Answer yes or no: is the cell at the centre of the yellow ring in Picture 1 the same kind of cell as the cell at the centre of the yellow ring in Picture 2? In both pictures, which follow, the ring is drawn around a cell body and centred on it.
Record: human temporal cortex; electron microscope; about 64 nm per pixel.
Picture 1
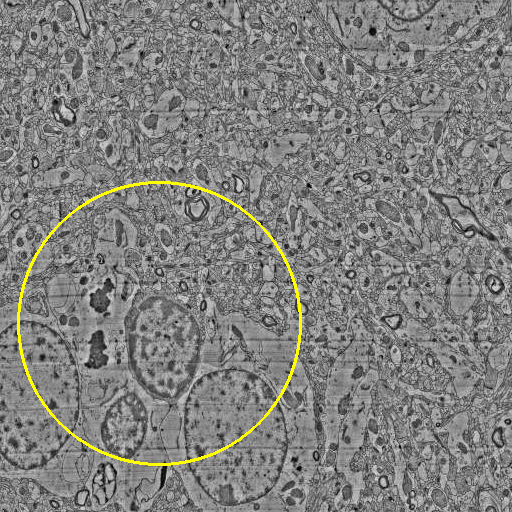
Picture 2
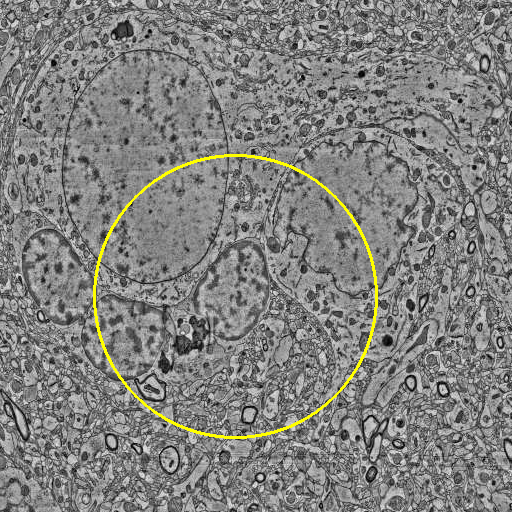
yes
